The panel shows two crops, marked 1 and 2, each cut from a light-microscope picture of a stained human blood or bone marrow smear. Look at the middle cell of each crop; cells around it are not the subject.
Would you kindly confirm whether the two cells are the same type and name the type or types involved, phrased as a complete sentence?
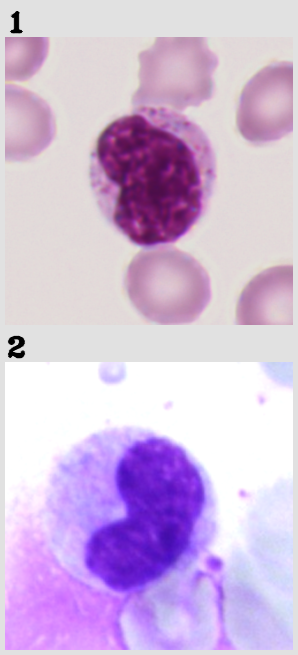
No, crop 1 contains a metamyelocyte, whereas crop 2 contains a band neutrophil.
